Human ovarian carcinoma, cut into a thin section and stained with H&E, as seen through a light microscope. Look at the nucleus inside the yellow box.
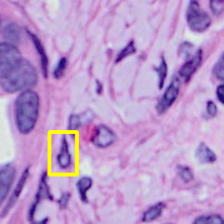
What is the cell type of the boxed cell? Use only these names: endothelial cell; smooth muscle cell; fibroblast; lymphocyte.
fibroblast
